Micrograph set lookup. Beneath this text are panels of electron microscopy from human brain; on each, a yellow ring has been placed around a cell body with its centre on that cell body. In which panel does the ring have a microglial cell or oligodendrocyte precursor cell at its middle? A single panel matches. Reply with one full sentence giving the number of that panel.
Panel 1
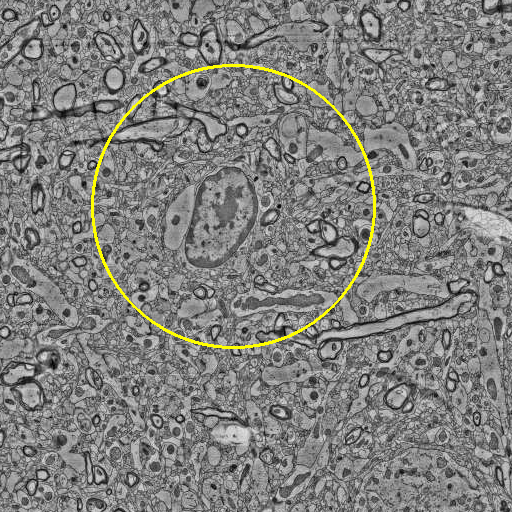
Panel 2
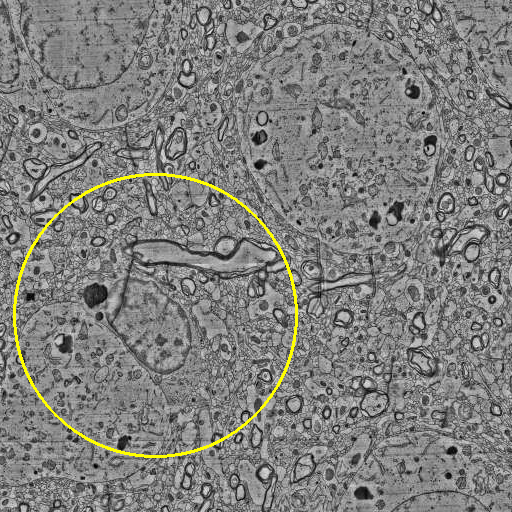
Panel 1 is the one whose ring has the sought cell at its centre.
